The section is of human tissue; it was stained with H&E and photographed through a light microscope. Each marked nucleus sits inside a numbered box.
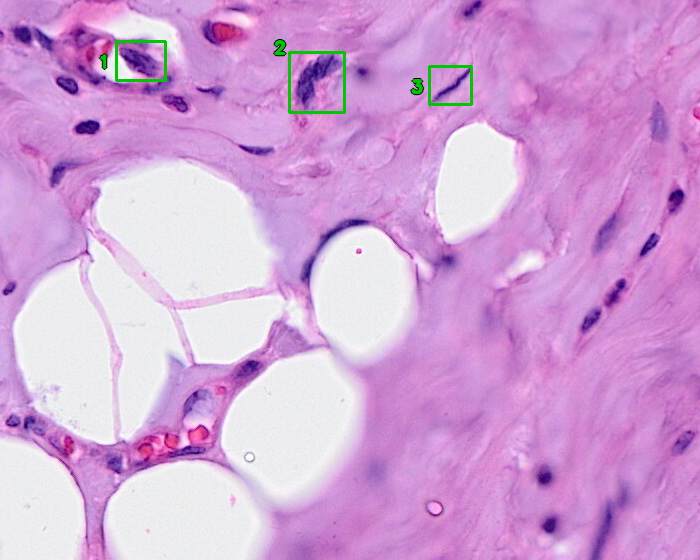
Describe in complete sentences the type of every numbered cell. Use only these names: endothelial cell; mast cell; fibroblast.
Cell 1 is an endothelial cell, cell 2 is a fibroblast and cell 3 is a fibroblast.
